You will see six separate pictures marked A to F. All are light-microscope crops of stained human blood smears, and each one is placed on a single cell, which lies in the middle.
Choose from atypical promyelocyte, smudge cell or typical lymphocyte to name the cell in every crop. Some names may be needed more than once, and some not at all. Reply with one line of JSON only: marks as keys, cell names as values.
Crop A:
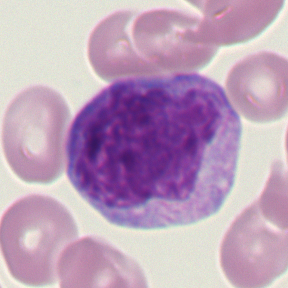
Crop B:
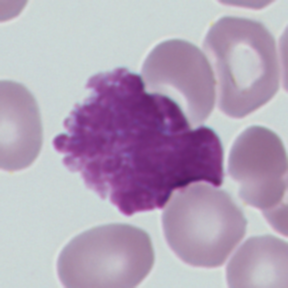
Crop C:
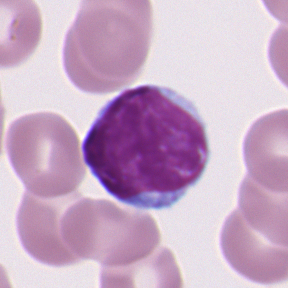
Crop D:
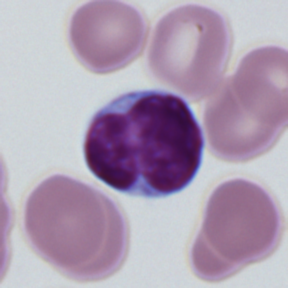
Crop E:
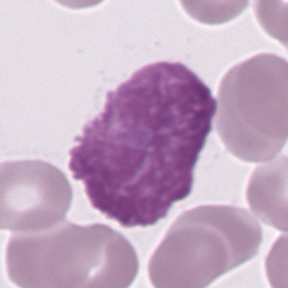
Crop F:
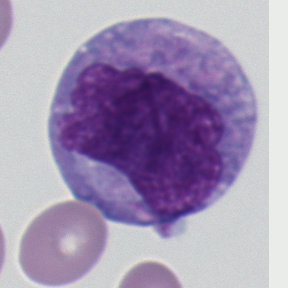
{"A": "atypical promyelocyte", "B": "smudge cell", "C": "typical lymphocyte", "D": "typical lymphocyte", "E": "smudge cell", "F": "atypical promyelocyte"}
